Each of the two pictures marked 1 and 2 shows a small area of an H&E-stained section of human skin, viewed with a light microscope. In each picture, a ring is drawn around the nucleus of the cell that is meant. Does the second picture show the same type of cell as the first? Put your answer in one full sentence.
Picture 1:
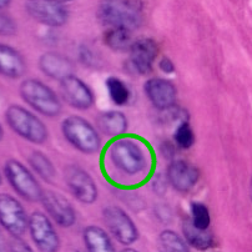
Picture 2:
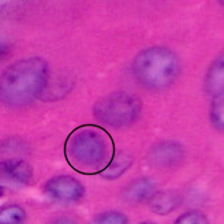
Yes; the cells in both pictures are suprabasal keratinocytes.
